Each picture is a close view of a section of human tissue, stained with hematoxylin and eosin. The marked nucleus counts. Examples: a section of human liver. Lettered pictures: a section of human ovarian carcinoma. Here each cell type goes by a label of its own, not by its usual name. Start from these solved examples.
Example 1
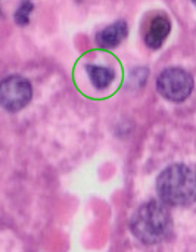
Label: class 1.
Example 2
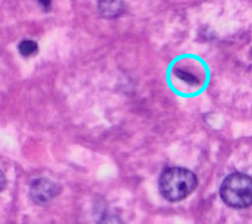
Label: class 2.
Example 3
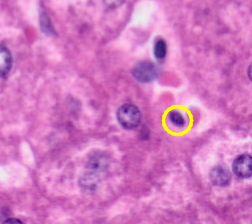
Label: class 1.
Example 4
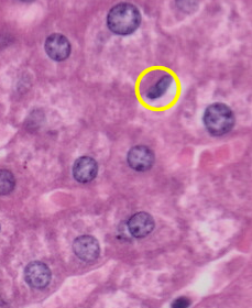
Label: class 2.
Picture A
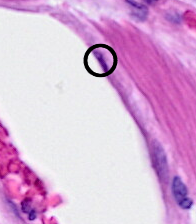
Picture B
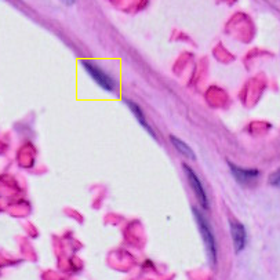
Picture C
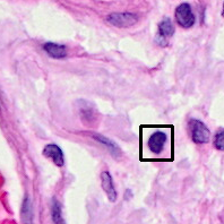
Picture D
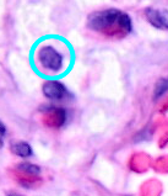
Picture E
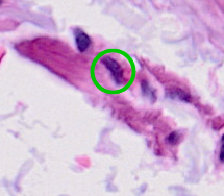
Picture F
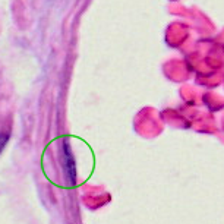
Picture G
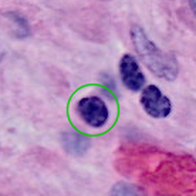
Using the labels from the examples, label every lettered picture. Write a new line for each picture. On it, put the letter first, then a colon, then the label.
A: class 2.
B: class 2.
C: class 1.
D: class 1.
E: class 2.
F: class 2.
G: class 1.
